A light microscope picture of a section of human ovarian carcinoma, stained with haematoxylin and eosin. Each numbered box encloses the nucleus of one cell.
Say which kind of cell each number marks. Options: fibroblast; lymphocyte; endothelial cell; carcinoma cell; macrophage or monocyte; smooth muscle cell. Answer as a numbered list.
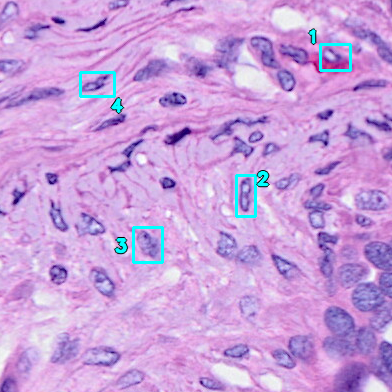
1. endothelial cell
2. fibroblast
3. fibroblast
4. fibroblast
